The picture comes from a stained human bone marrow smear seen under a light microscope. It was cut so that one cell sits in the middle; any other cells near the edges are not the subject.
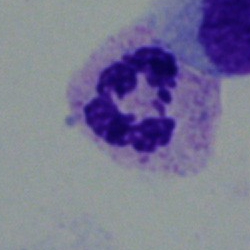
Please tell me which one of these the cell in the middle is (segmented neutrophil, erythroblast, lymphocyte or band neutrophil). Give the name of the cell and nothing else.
segmented neutrophil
